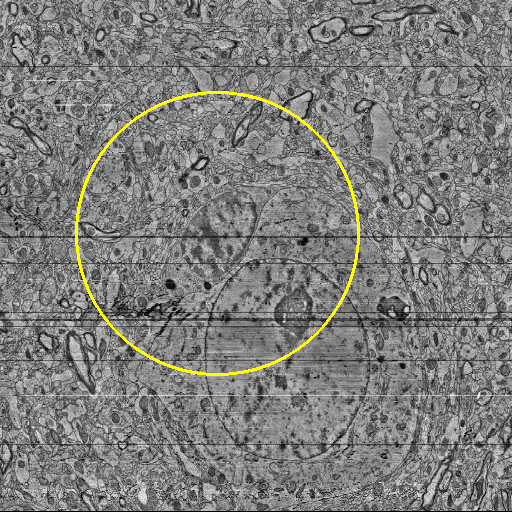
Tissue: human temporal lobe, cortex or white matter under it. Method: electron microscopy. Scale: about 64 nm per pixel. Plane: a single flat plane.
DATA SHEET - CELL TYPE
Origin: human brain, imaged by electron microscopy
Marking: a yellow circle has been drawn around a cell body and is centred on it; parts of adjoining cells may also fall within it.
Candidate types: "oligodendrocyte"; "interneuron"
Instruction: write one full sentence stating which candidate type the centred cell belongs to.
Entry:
The cell body at the centre of the yellow ring in this micrograph belongs to an oligodendrocyte.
